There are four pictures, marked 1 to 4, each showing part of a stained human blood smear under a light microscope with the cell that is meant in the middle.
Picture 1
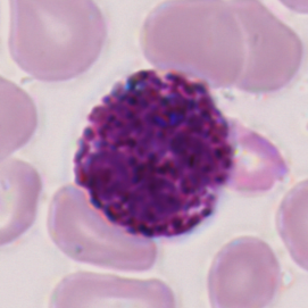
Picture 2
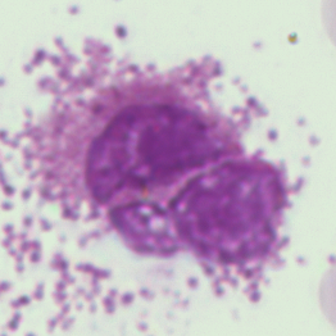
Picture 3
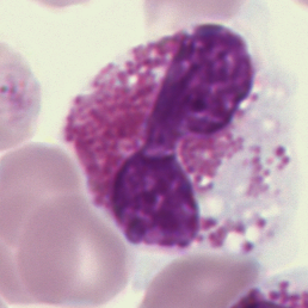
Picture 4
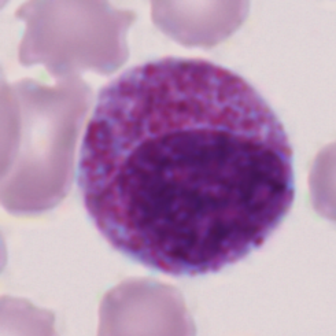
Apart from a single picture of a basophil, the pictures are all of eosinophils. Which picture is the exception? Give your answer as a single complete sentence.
It is picture 1 that shows the basophil.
